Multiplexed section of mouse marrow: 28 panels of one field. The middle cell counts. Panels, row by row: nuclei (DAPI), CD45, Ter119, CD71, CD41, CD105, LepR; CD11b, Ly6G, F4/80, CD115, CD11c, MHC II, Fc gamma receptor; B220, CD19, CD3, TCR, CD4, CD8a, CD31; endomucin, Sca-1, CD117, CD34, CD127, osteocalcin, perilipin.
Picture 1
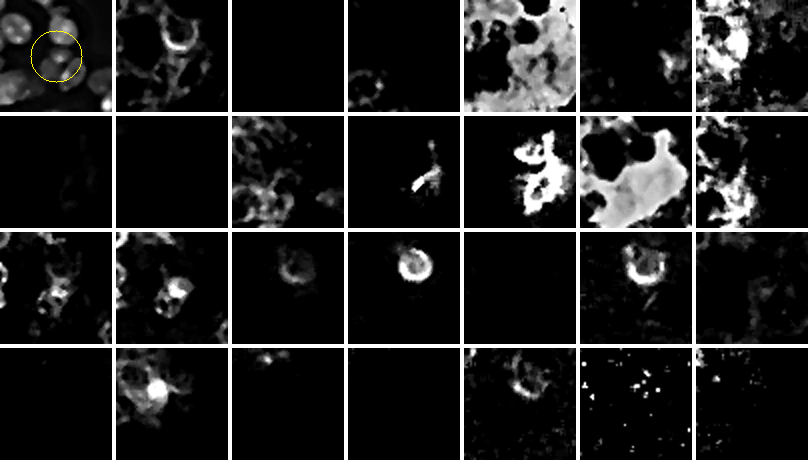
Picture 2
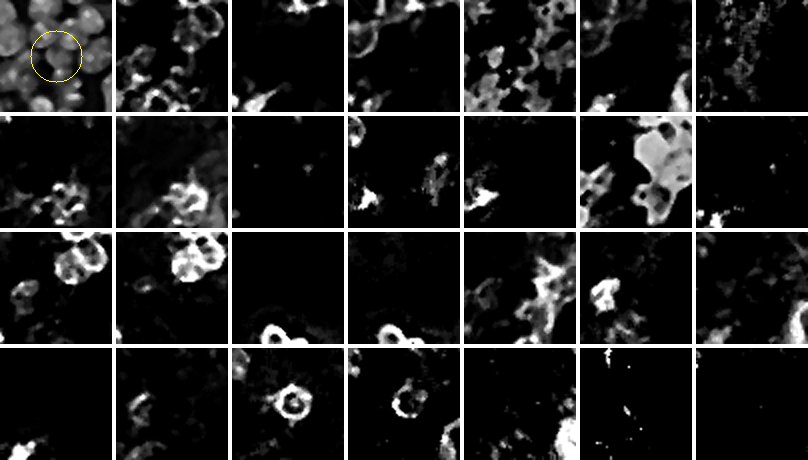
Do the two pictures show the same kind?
No: a B cell, then a common myeloid progenitor.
